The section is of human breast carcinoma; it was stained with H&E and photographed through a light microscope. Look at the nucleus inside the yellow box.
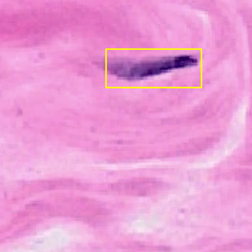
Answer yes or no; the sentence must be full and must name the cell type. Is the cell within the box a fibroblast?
Yes, it holds that the cell within the box is a fibroblast.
